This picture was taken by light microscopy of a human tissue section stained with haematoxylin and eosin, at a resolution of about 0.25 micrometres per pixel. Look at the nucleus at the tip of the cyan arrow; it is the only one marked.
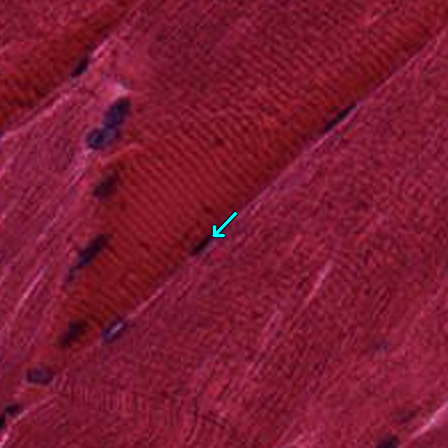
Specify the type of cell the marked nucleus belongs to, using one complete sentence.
It is a skeletal muscle fibre that the marked nucleus belongs to.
